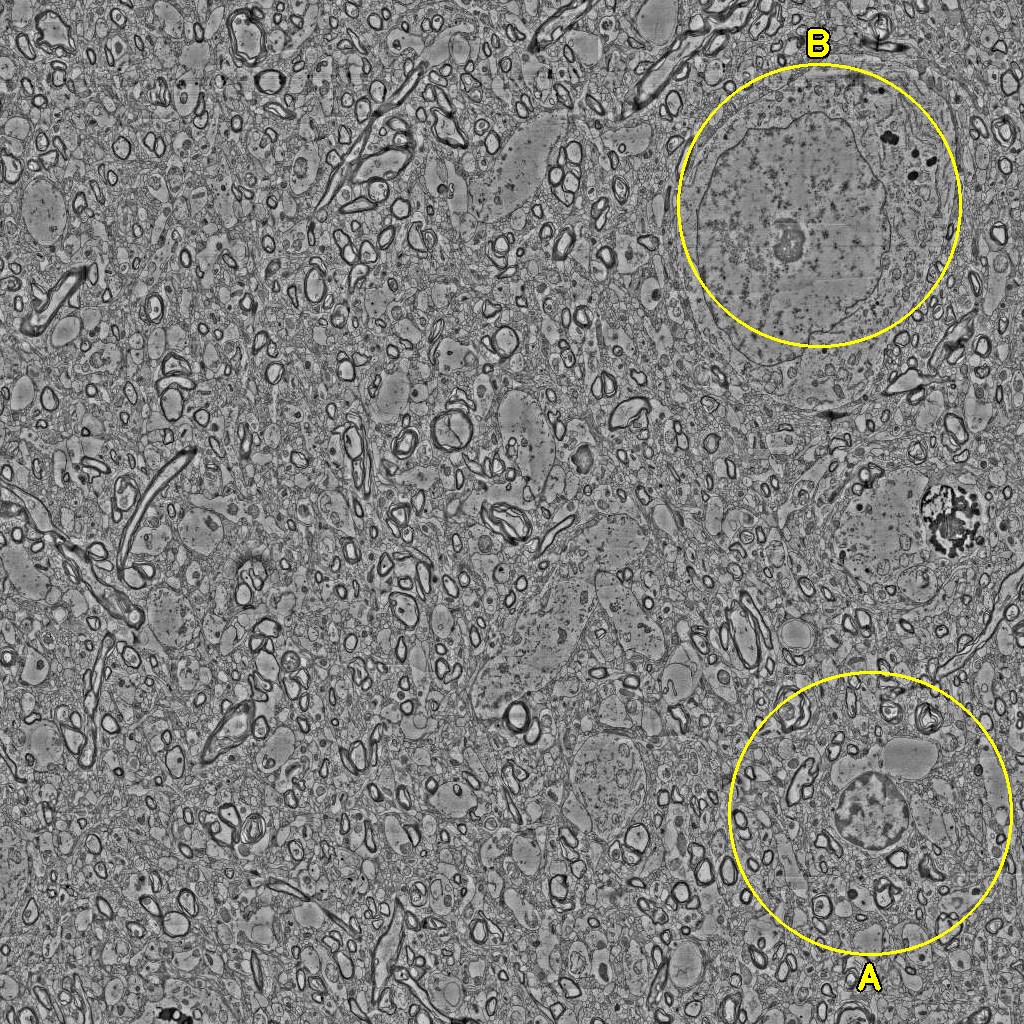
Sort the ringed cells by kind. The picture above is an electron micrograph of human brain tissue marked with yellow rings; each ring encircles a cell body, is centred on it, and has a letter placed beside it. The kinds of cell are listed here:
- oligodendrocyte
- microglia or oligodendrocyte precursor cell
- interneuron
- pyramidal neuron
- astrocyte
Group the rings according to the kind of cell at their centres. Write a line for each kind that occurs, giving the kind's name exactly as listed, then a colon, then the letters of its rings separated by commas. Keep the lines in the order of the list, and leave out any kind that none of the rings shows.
microglia or oligodendrocyte precursor cell: A
pyramidal neuron: B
